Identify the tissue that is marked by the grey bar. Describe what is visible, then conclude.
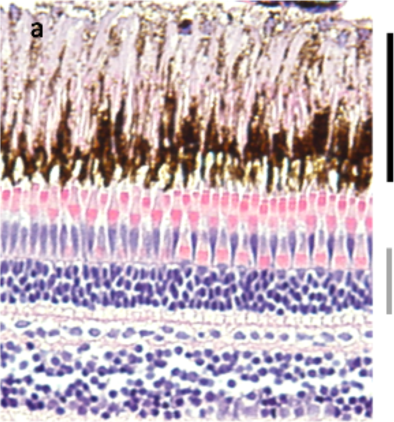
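The grey bar spans a band of densely packed purple nuclei. The band lies just inside the pink inner segments and outside a pale plexiform layer.
Answer: outer nuclear layer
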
